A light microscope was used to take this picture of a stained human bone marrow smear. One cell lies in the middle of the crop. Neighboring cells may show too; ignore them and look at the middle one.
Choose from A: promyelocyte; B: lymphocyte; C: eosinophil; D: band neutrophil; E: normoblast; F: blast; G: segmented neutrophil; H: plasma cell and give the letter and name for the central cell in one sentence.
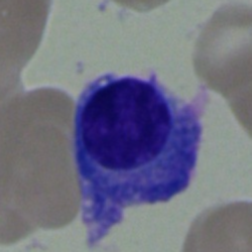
The correct identification, given in option H, is that the central cell is a plasma cell.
